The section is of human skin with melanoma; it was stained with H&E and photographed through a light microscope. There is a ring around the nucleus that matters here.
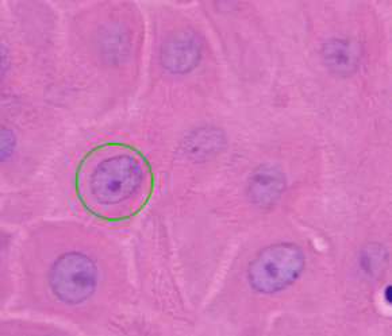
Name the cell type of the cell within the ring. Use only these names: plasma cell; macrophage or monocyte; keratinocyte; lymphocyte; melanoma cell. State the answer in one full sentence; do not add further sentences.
In this section, the cell within the ring is a keratinocyte.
